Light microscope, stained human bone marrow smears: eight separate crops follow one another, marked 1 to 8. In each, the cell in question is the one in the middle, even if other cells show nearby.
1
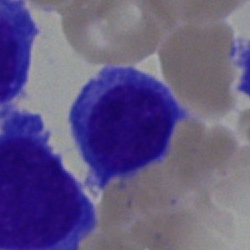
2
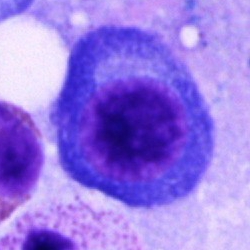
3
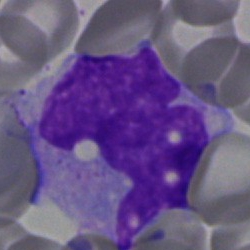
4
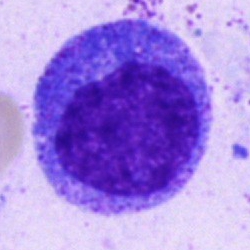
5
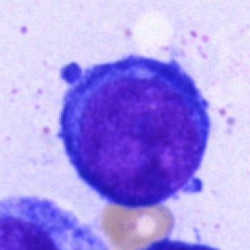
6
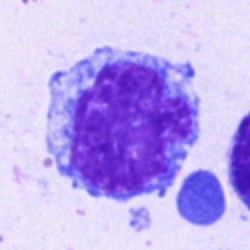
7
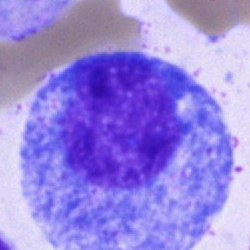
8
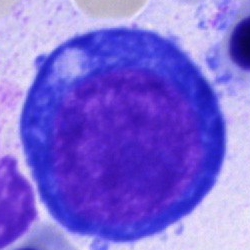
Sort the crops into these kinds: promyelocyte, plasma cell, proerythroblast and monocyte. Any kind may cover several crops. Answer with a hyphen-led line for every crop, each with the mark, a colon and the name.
- 1: plasma cell
- 2: plasma cell
- 3: monocyte
- 4: promyelocyte
- 5: proerythroblast
- 6: monocyte
- 7: promyelocyte
- 8: proerythroblast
